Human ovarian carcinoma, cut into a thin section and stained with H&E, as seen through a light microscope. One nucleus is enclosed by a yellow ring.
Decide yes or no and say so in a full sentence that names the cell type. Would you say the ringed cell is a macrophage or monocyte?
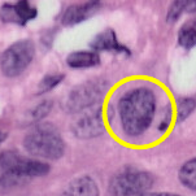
No, it is a carcinoma cell, not a macrophage or monocyte, that the ringed cell represents.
